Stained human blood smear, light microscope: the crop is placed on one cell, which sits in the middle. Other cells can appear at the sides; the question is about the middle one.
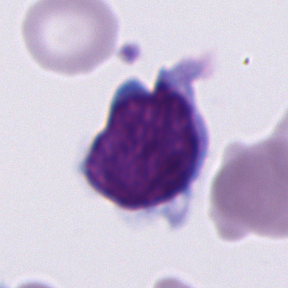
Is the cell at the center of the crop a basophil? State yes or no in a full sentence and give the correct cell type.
No, that is not a basophil; the middle cell is a typical lymphocyte.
